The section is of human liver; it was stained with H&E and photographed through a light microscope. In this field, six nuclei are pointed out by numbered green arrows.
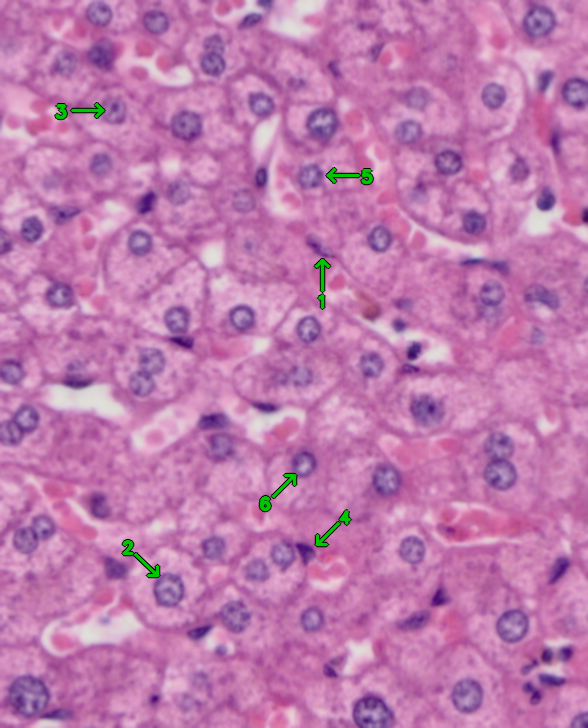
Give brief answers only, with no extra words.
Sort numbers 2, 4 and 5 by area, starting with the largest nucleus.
2, 5, 4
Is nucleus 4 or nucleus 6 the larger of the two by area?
6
